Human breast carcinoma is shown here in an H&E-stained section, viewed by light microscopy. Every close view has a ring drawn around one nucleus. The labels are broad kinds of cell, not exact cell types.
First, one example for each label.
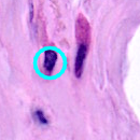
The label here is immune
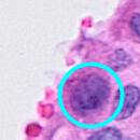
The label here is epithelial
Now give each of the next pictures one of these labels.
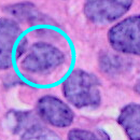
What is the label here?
epithelial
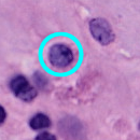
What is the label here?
immune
